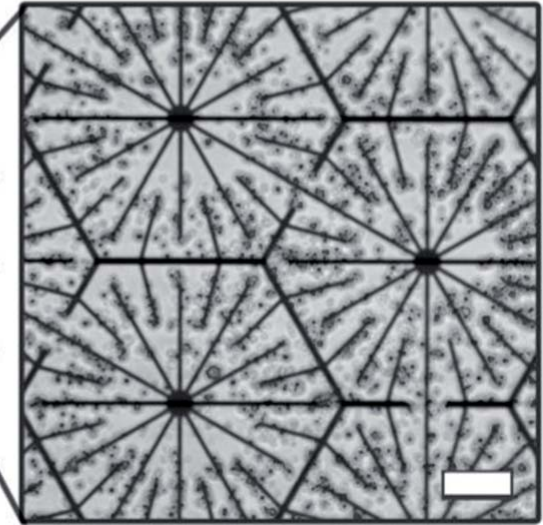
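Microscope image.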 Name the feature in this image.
liver lobule like structures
